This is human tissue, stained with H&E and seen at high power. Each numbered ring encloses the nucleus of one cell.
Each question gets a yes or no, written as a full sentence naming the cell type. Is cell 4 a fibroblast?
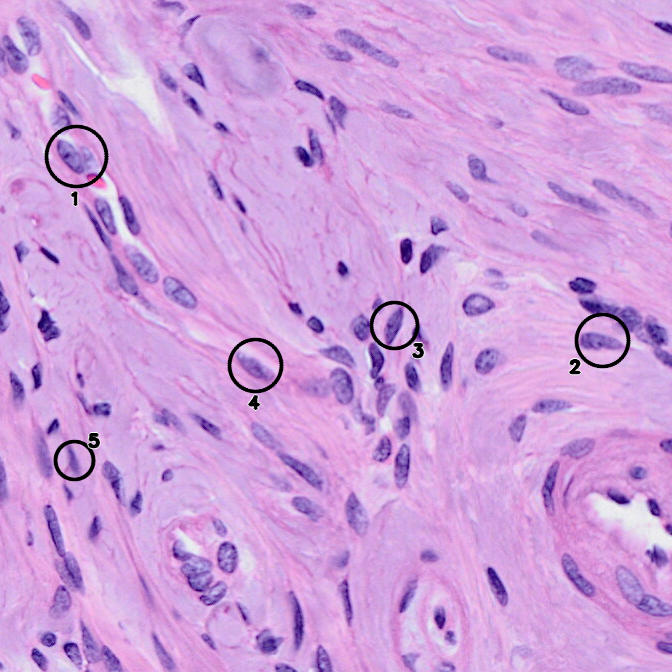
No, the cell with number 4 is not a fibroblast but an endothelial cell.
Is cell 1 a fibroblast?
No, the cell carrying number 1 is an endothelial cell, not a fibroblast.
